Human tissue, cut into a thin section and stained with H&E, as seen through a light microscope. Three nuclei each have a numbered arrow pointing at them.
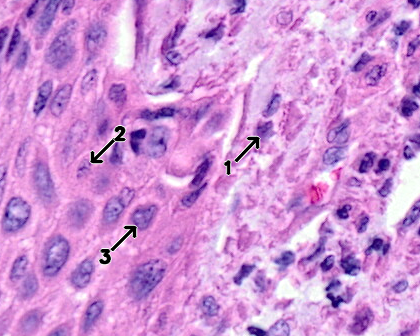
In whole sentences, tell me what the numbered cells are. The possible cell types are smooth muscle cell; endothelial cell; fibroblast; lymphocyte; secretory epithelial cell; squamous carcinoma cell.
Cell 1 is a fibroblast, cell 2 is a squamous carcinoma cell and cell 3 is a squamous carcinoma cell.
